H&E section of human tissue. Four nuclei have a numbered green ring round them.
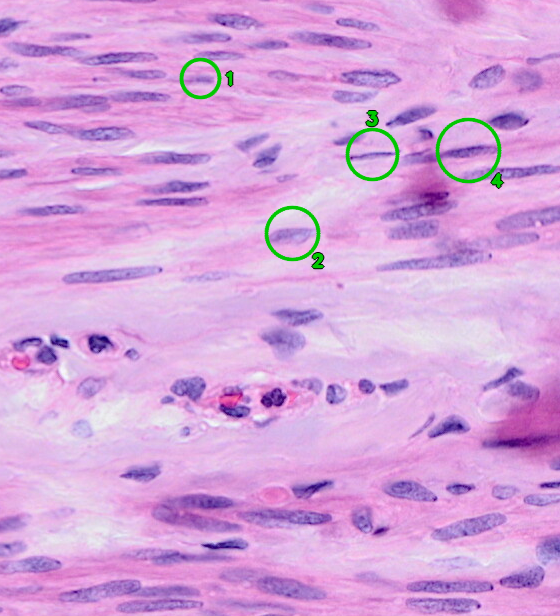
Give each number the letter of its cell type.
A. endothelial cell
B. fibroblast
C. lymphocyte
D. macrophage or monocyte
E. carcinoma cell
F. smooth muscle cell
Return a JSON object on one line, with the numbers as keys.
{"1": "F", "2": "F", "3": "B", "4": "F"}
